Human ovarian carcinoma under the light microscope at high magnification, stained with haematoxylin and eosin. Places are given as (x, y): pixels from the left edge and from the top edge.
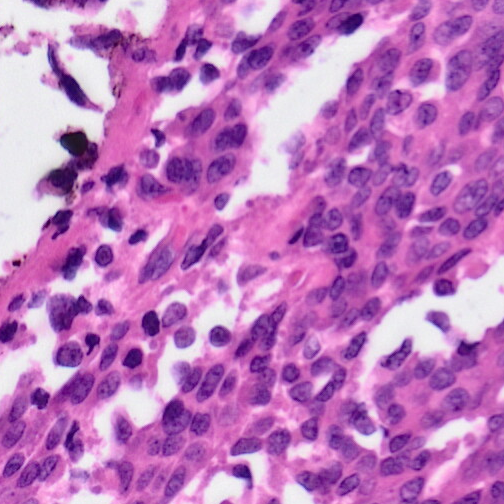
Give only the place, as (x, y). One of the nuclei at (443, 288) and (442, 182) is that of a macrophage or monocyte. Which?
(442, 182)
